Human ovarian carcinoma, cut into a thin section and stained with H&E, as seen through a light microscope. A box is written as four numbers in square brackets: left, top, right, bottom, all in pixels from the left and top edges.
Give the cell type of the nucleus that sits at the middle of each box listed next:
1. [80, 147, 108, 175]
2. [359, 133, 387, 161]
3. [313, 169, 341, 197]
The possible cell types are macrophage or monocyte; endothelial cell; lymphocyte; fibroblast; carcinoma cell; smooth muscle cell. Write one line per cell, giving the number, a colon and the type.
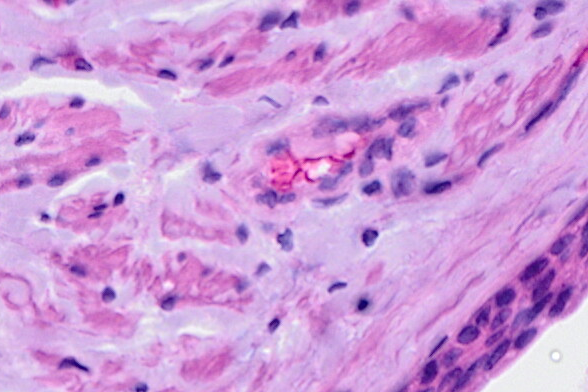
1: smooth muscle cell
2: endothelial cell
3: endothelial cell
